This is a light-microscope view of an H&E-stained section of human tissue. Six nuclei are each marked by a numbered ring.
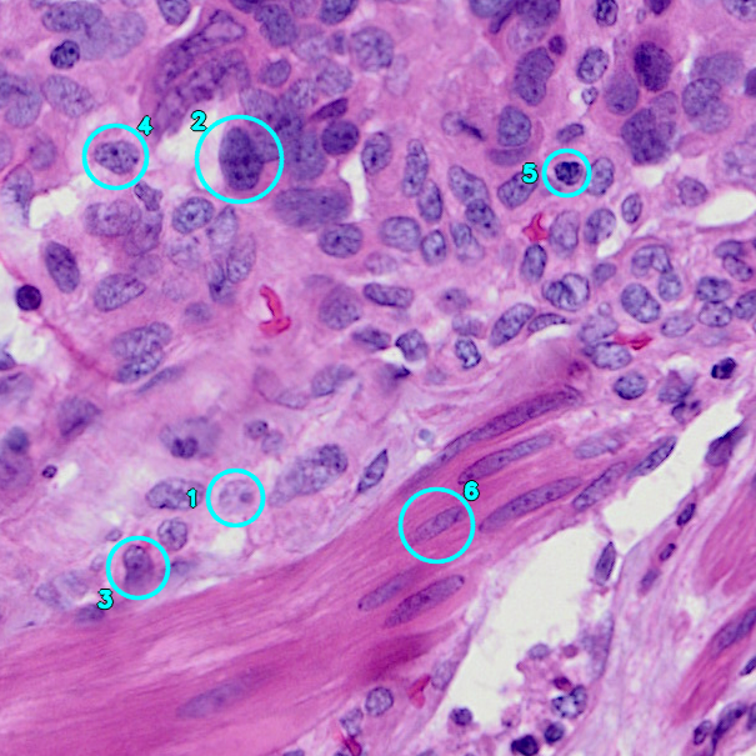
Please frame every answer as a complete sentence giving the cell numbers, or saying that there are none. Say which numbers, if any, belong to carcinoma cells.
Only the cell carrying number 2 is a carcinoma cell.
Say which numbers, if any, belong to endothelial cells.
Cell 3 is the single numbered cell that is an endothelial cell.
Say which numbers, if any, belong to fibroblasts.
The numbered cells include exactly one that is a fibroblast, which is cell 1.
